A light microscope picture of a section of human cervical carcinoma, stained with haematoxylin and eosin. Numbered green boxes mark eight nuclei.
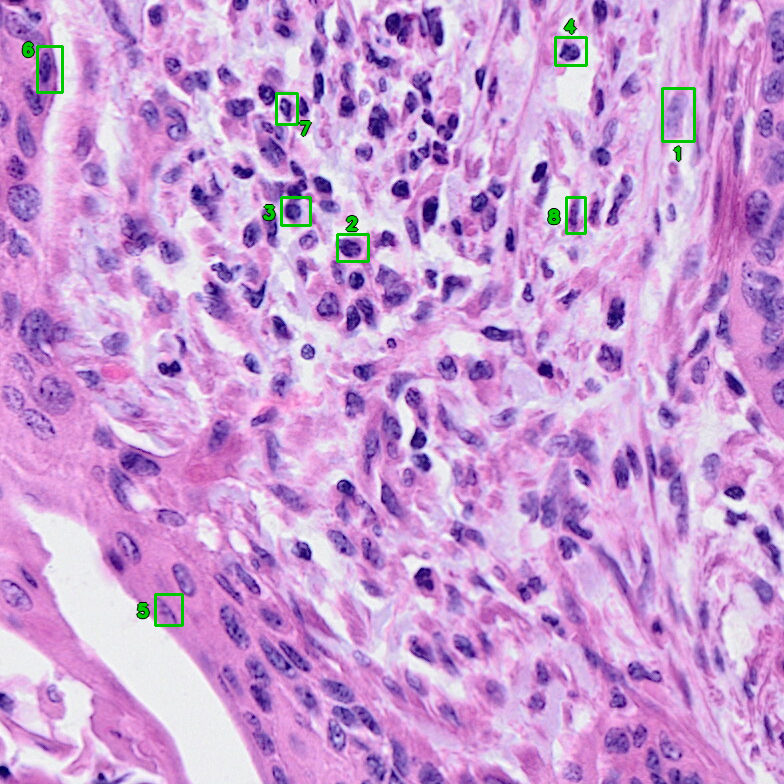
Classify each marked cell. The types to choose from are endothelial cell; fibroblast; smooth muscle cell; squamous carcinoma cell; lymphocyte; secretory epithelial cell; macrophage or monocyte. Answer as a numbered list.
1. fibroblast
2. lymphocyte
3. lymphocyte
4. lymphocyte
5. squamous carcinoma cell
6. squamous carcinoma cell
7. lymphocyte
8. fibroblast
